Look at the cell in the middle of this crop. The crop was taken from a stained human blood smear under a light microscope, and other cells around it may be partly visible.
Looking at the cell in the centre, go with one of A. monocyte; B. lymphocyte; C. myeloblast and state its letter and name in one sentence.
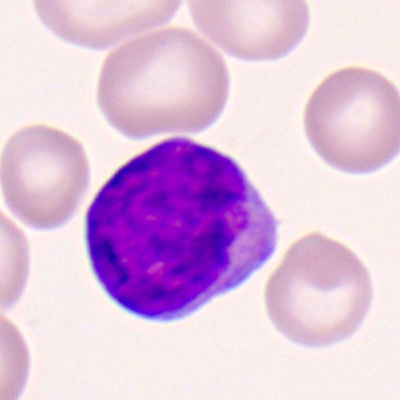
Option C gives the correct identity of the central cell, namely a myeloblast.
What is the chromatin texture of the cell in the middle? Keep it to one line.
Its nuclear chromatin is gathered into coarse clumps.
